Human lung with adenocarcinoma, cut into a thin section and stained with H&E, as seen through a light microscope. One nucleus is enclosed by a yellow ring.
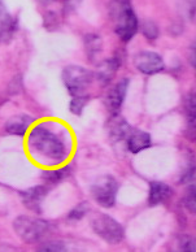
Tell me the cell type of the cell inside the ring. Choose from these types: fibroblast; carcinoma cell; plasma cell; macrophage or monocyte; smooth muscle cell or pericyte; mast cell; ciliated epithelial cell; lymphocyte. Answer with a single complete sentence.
Within the stained tissue, the cell inside the ring is a ciliated epithelial cell.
